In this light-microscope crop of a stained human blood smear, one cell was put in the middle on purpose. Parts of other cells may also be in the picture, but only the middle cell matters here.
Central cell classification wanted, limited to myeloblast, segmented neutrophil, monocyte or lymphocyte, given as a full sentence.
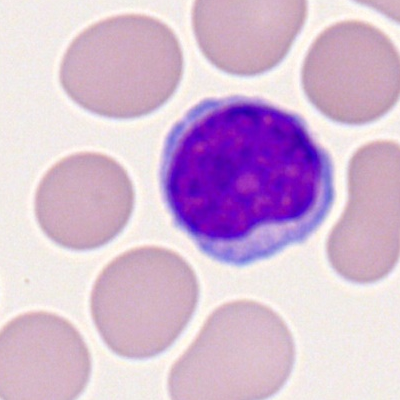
For this crop, the central cell is a lymphocyte.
